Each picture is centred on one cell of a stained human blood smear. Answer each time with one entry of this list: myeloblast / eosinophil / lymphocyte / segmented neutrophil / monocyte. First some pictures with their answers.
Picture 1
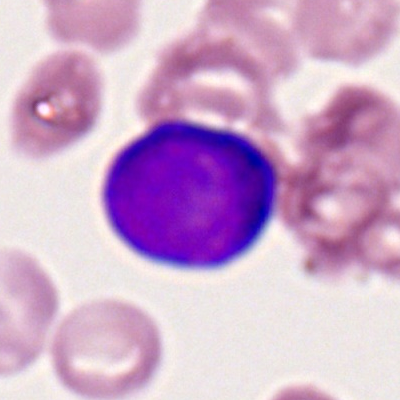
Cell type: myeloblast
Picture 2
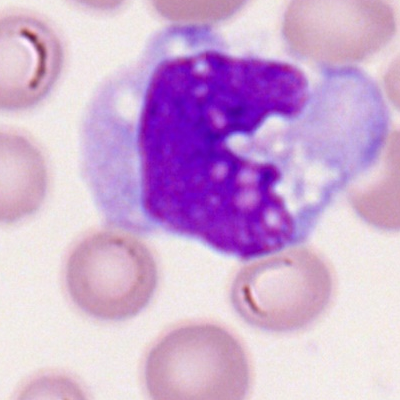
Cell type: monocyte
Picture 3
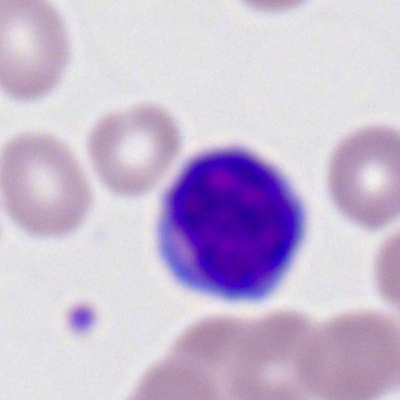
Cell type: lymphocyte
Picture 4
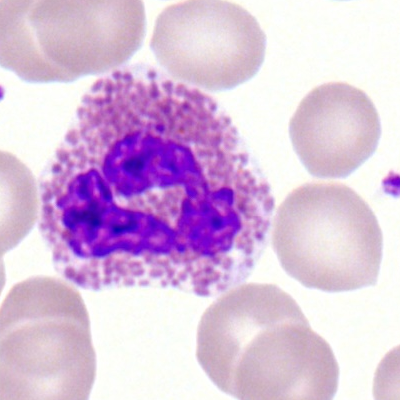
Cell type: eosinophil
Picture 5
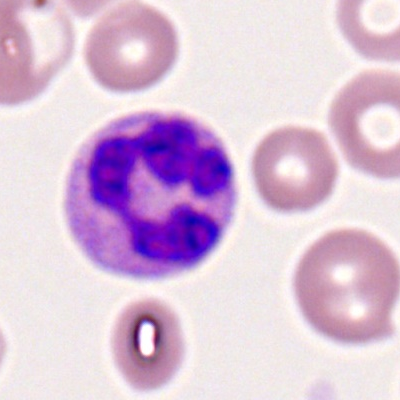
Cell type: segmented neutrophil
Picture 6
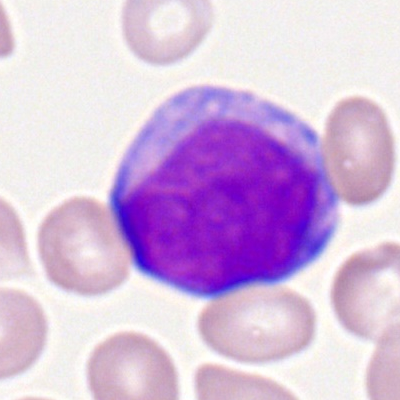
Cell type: myeloblast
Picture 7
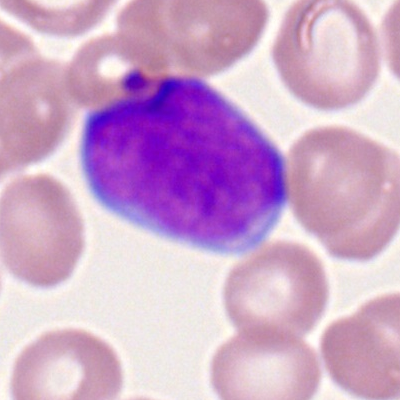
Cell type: myeloblast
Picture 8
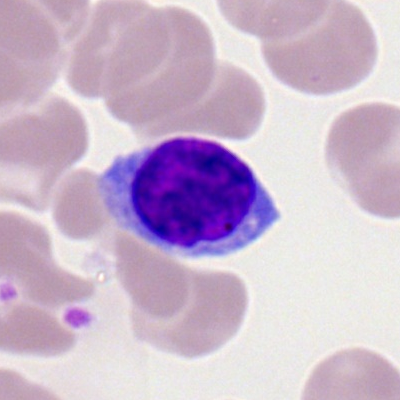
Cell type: lymphocyte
